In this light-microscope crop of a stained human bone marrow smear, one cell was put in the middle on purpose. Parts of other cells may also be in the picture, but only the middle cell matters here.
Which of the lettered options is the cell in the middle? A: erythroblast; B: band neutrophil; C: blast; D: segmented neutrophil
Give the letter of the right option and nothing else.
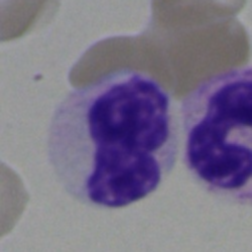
B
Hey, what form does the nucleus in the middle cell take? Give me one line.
The nucleus is segmented, with two or more lobes present.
